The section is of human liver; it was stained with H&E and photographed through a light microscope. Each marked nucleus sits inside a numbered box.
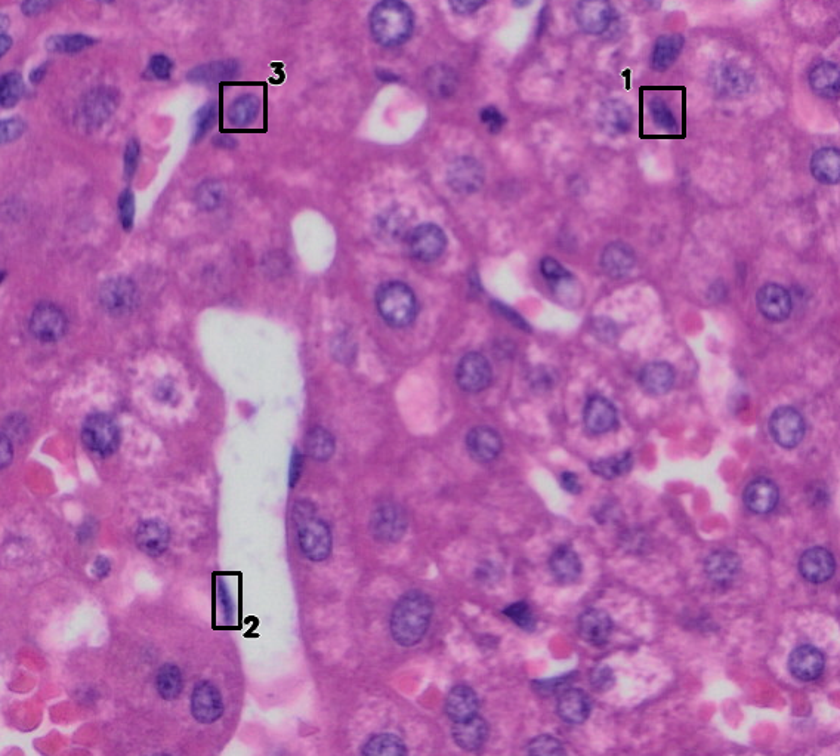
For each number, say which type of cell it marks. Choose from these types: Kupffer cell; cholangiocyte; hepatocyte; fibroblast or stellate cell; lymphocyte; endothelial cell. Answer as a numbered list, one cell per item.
1. fibroblast or stellate cell
2. endothelial cell
3. cholangiocyte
